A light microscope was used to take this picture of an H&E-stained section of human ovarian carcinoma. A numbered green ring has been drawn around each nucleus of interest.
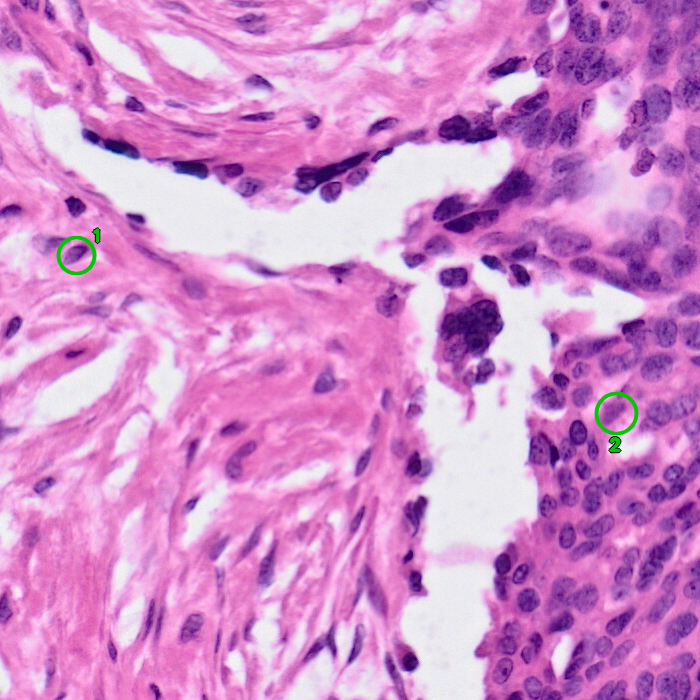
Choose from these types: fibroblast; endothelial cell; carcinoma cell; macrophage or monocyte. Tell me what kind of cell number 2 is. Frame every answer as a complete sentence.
In this section, the cell tagged 2 is a carcinoma cell.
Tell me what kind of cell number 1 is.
Cell 1 in the field of view is a fibroblast.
